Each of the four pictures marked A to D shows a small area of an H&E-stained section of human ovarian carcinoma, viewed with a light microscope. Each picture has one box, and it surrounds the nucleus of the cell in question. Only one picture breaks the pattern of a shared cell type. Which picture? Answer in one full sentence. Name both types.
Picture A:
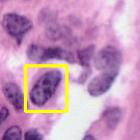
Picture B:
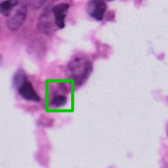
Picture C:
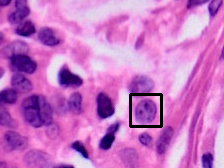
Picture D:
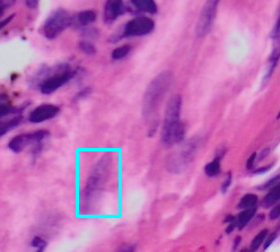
All pictures except D show “macrophages or monocytes”; picture D shows a fibroblast.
